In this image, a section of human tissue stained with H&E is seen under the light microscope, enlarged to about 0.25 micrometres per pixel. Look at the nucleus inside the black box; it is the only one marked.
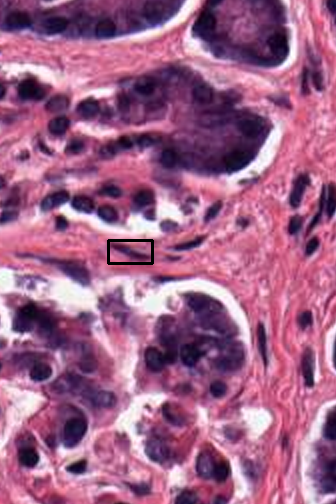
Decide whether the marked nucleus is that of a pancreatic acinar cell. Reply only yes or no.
no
